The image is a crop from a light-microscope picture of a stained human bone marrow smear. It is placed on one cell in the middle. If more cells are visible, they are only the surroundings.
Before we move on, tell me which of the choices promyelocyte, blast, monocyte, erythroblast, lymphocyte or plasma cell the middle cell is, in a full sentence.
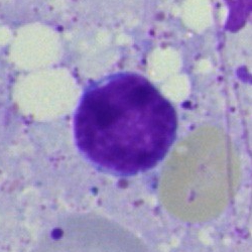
The target cell in the middle of the crop is a lymphocyte.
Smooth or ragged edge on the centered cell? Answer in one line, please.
The cell shows a smooth outline that lacks any surface projections.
